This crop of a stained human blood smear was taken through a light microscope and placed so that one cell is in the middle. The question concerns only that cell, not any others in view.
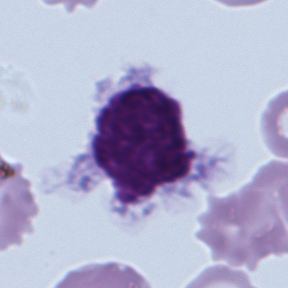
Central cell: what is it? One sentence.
In this crop, the cell at the very middle is a hairy cell.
